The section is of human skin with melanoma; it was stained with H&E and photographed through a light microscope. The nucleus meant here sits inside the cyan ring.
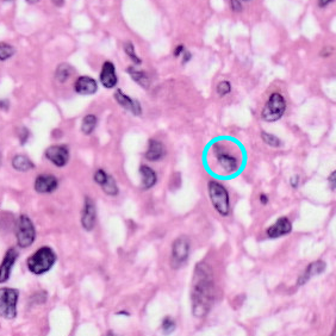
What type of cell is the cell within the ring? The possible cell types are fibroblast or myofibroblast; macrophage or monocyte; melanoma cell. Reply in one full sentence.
In the tissue under study, the cell within the ring is a macrophage or monocyte.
